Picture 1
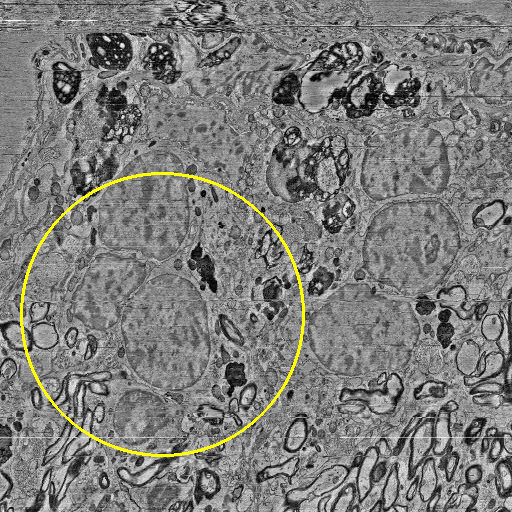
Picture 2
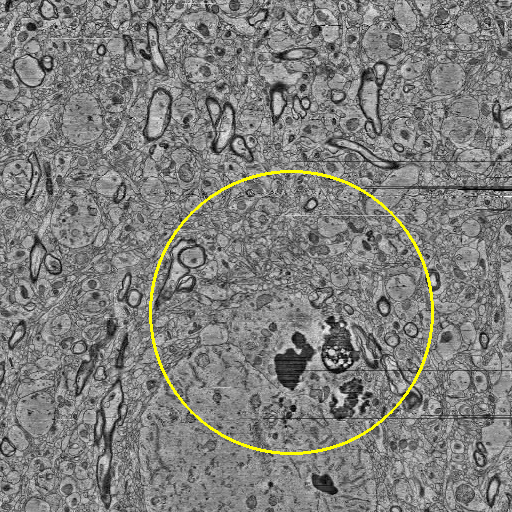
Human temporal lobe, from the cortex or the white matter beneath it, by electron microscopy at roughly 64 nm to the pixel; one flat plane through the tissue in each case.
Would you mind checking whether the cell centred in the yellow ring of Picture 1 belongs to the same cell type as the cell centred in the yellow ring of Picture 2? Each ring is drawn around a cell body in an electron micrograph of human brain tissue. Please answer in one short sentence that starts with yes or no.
Yes, both cells are of the same type.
